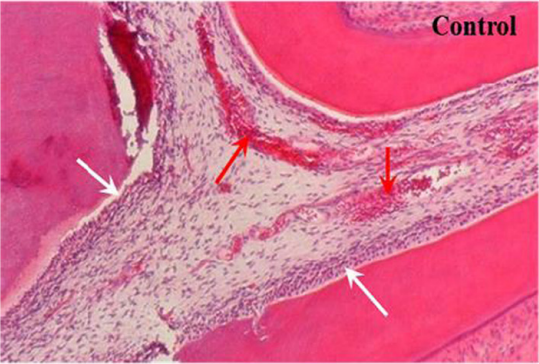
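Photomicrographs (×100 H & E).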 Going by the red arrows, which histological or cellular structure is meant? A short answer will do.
Well-vascularised pulp.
